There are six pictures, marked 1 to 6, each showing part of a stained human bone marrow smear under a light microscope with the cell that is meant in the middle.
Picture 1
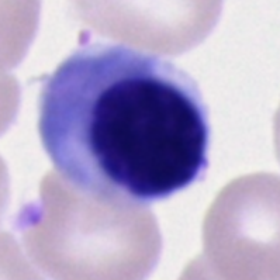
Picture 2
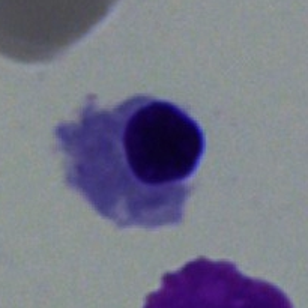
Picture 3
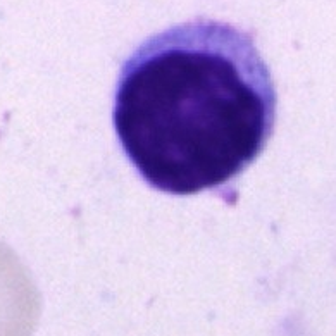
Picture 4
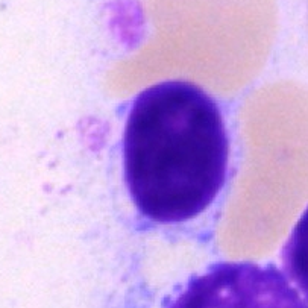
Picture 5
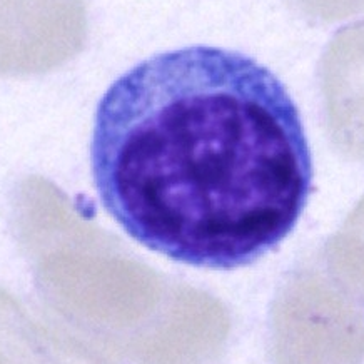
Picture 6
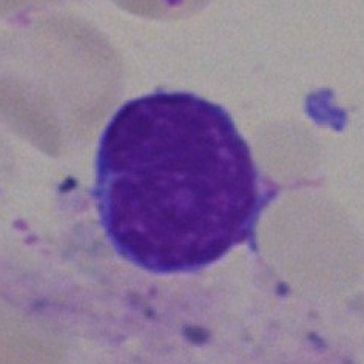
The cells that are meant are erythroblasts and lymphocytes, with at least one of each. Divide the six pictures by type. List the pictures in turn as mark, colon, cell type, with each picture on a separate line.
1: erythroblast
2: erythroblast
3: lymphocyte
4: lymphocyte
5: lymphocyte
6: lymphocyte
